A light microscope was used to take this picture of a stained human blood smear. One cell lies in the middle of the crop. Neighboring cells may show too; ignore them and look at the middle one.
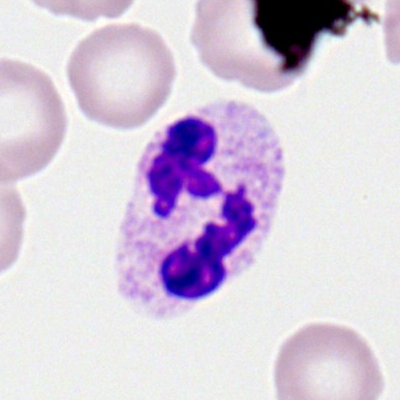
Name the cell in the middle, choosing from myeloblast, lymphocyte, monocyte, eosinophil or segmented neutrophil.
segmented neutrophil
